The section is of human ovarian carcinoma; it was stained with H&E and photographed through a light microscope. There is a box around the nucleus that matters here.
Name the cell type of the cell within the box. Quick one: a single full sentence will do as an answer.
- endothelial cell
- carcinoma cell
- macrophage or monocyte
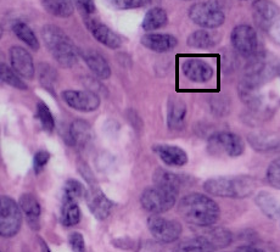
For the purposes of cell typing, the cell within the box is categorized as a macrophage or monocyte.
